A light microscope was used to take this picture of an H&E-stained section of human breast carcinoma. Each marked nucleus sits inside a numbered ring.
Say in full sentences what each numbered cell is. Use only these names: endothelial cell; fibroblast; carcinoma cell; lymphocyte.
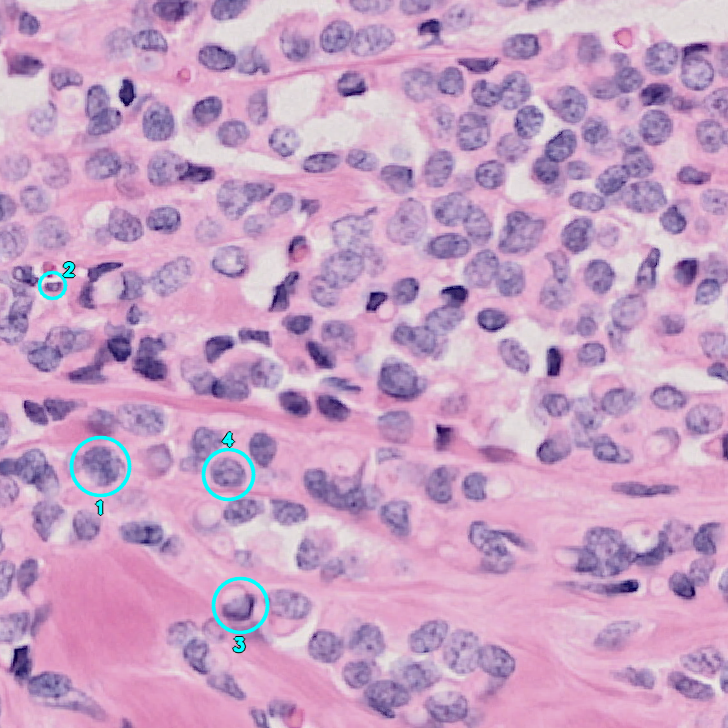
Cells 1, 3 and 4 are carcinoma cells. Cell 2 is an endothelial cell.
